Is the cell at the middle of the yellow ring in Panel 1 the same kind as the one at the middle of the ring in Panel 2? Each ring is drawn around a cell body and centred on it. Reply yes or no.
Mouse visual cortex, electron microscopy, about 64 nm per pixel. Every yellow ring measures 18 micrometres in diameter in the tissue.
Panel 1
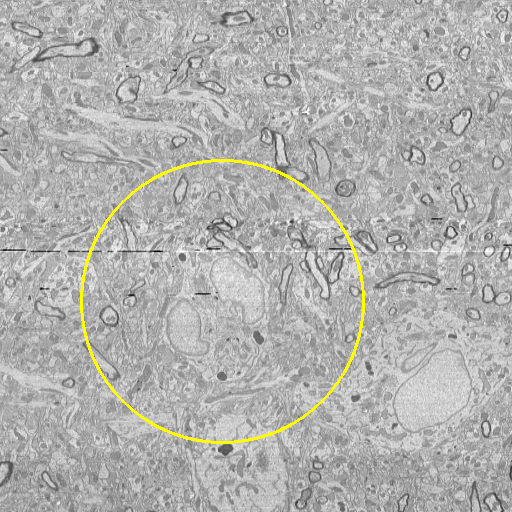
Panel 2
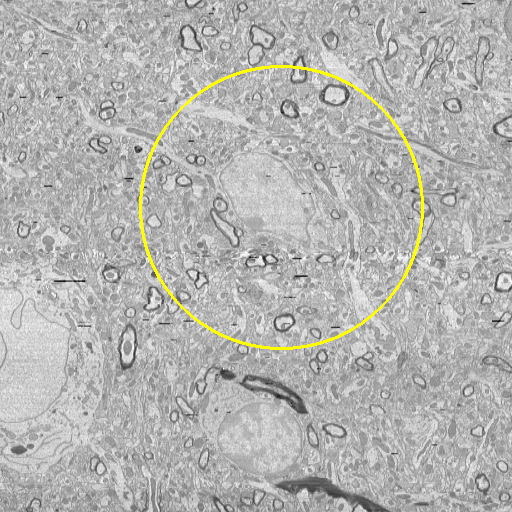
yes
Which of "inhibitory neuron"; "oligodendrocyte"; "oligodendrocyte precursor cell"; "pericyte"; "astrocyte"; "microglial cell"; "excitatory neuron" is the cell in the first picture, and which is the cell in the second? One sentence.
Each of the two cells is an oligodendrocyte precursor cell.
